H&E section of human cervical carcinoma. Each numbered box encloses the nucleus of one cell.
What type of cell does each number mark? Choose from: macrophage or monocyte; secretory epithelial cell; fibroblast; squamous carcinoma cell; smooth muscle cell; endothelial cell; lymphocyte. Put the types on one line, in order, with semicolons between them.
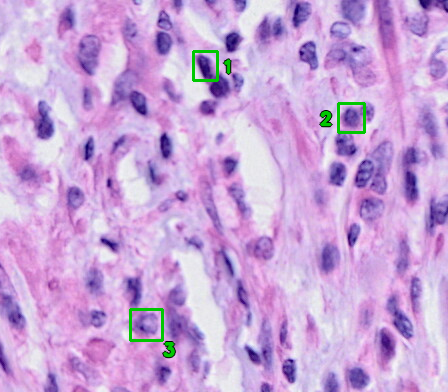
lymphocyte; lymphocyte; macrophage or monocyte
